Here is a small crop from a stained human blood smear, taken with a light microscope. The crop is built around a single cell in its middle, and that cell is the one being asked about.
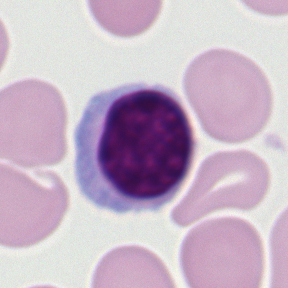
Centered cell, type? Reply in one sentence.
The centrally located cell in the crop is a typical lymphocyte.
